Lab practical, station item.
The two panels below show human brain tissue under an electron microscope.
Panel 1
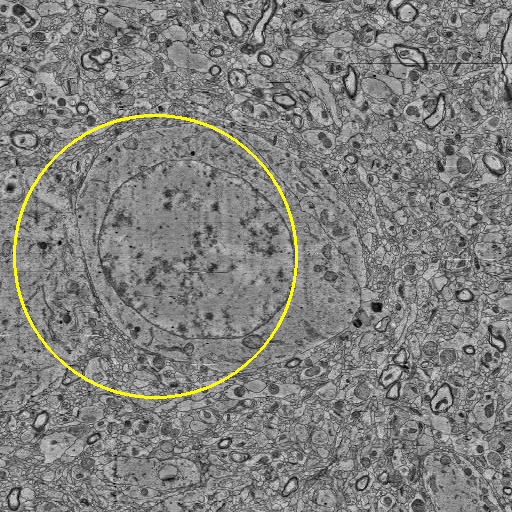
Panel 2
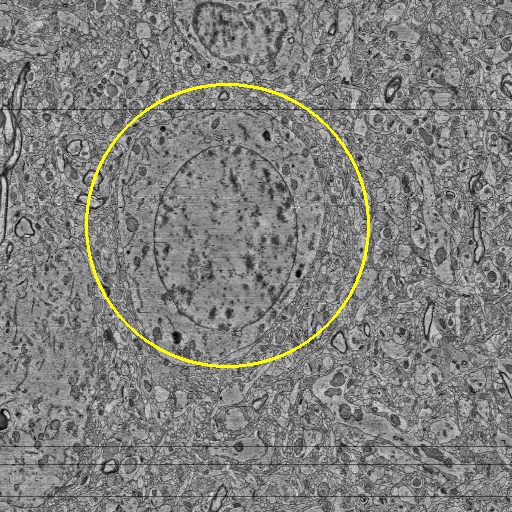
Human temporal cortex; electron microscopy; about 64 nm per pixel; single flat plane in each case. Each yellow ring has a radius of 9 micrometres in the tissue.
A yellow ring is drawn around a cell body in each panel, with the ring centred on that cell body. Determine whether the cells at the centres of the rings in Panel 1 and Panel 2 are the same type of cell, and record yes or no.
yes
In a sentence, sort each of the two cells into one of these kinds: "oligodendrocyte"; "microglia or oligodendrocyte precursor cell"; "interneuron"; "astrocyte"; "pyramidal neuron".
In each picture the ringed cell is a pyramidal neuron.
